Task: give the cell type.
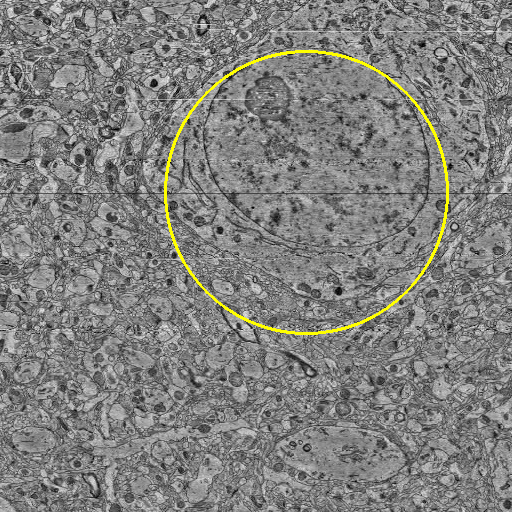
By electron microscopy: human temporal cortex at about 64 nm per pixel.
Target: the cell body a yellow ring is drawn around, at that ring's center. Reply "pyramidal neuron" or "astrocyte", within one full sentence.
In this picture, the cell whose body lies at the ring's center is a pyramidal neuron.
